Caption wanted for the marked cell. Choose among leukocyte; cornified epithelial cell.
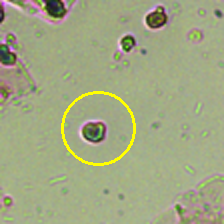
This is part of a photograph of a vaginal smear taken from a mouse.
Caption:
Ringed in yellow is a leukocyte.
